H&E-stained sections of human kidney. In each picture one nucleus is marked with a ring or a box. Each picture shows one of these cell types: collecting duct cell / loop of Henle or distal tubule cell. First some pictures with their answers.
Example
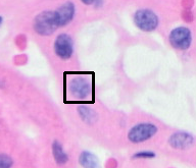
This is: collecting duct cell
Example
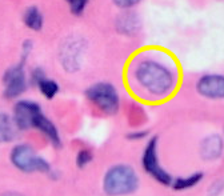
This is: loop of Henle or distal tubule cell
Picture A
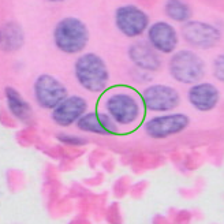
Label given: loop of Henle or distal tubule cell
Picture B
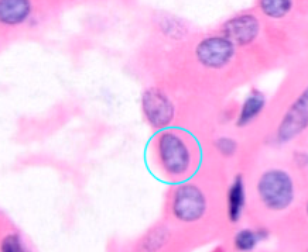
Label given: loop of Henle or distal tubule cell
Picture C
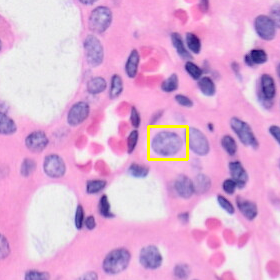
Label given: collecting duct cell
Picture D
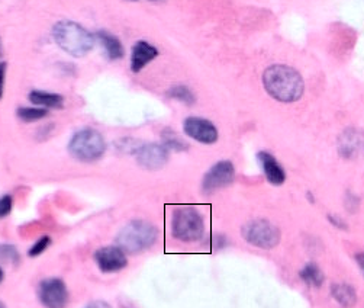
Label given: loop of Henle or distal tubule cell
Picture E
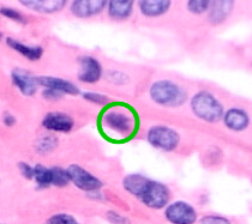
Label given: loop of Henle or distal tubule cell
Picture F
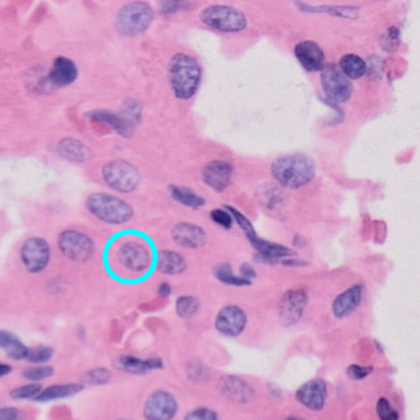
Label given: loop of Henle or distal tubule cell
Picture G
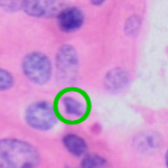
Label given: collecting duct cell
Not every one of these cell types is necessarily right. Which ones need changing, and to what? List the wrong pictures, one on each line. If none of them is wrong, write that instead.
A: not loop of Henle or distal tubule cell but collecting duct cell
